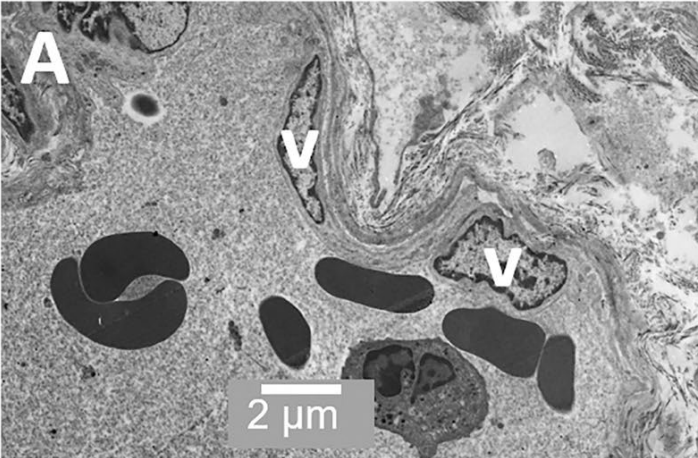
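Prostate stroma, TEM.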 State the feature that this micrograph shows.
Minor blood vessel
